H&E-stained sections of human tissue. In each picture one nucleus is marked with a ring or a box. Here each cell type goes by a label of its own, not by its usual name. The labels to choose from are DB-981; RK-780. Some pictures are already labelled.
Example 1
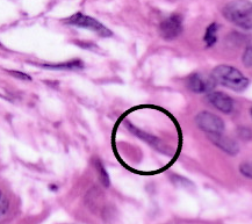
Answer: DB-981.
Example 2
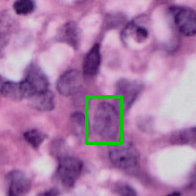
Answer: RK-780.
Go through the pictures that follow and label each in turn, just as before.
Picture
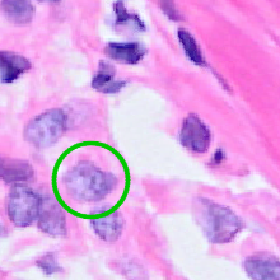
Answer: RK-780.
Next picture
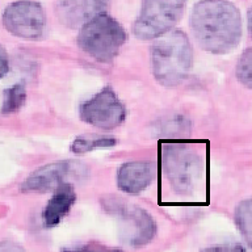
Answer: RK-780.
